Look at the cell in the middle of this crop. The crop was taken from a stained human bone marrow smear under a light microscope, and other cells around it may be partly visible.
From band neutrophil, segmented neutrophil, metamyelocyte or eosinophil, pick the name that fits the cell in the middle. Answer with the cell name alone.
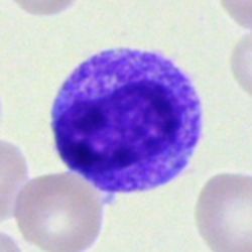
metamyelocyte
